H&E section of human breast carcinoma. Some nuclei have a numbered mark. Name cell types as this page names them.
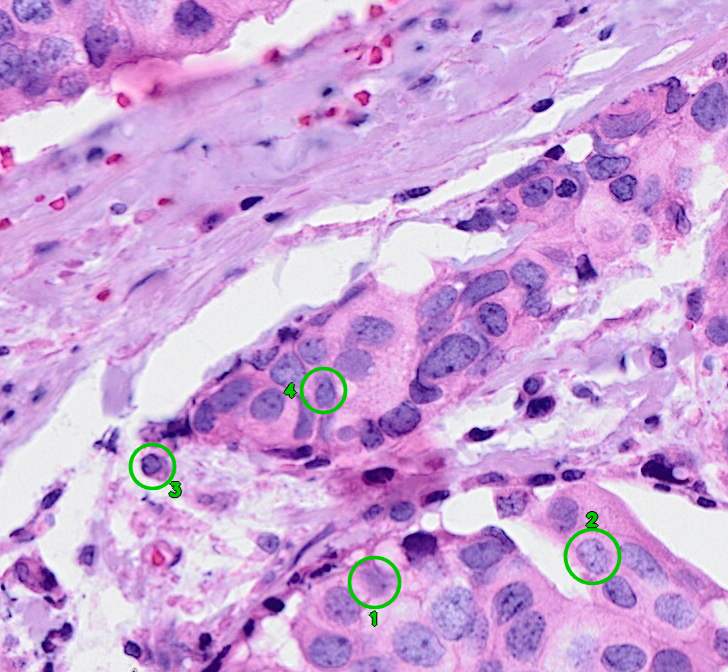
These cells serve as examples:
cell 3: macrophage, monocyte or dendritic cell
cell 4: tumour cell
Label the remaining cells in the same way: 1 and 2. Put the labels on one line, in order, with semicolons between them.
tumour cell; tumour cell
